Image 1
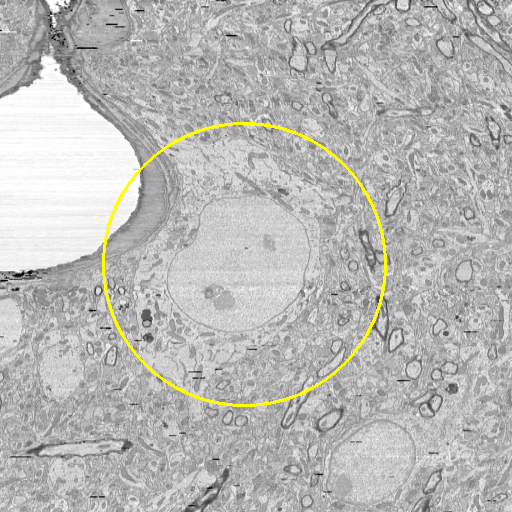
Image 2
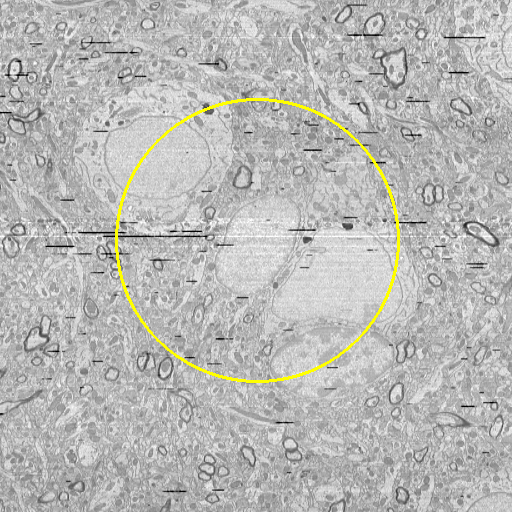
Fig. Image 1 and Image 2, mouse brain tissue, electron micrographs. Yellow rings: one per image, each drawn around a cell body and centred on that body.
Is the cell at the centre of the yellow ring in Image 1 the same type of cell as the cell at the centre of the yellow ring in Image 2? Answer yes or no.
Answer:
no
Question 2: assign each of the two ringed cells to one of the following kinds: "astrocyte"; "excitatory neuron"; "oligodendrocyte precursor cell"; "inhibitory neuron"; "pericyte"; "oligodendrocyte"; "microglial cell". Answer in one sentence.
The two cells are an excitatory neuron in the first picture and an astrocyte in the second.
